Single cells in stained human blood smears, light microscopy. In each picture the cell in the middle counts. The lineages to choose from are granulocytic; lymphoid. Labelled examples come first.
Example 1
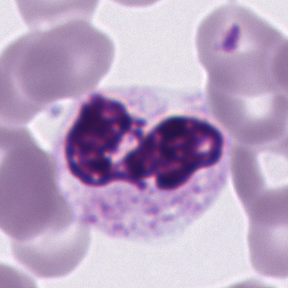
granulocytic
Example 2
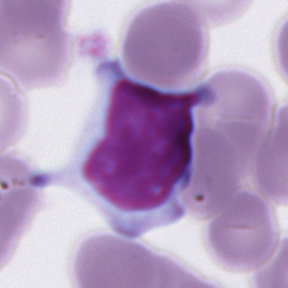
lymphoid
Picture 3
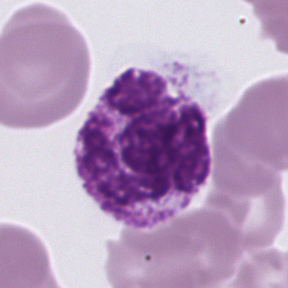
granulocytic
